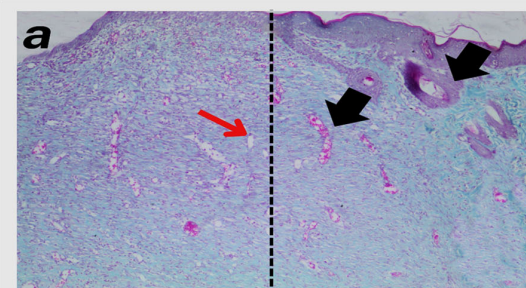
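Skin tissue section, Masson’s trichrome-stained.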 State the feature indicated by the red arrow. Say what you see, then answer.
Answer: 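The arrow points to a small lumen in the dermis. Many small open lumens with thin walls are scattered through the tissue. That points to this answer: Newly formed blood vessels.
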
